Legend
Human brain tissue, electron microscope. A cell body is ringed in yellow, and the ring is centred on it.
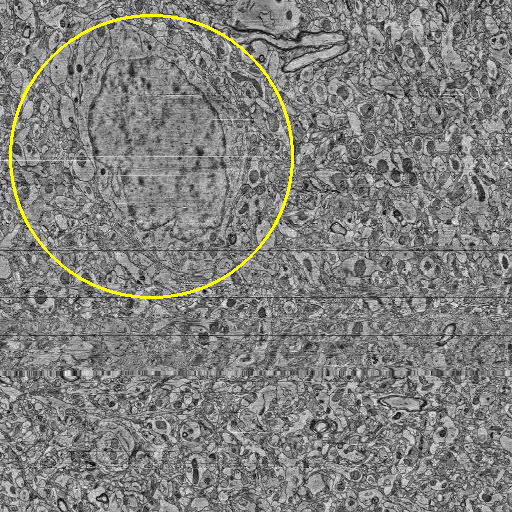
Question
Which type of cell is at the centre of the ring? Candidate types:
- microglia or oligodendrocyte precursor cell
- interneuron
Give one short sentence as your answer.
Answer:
The yellow ring is centred here on an interneuron.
